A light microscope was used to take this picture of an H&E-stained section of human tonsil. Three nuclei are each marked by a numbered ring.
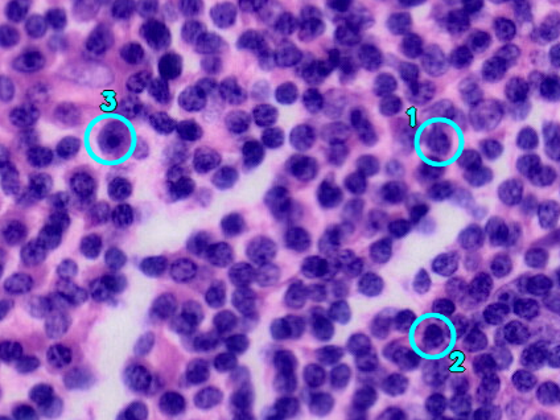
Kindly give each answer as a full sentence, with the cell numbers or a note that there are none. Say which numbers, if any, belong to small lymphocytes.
The cells with the numbers 1 and 2 are small lymphocytes.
